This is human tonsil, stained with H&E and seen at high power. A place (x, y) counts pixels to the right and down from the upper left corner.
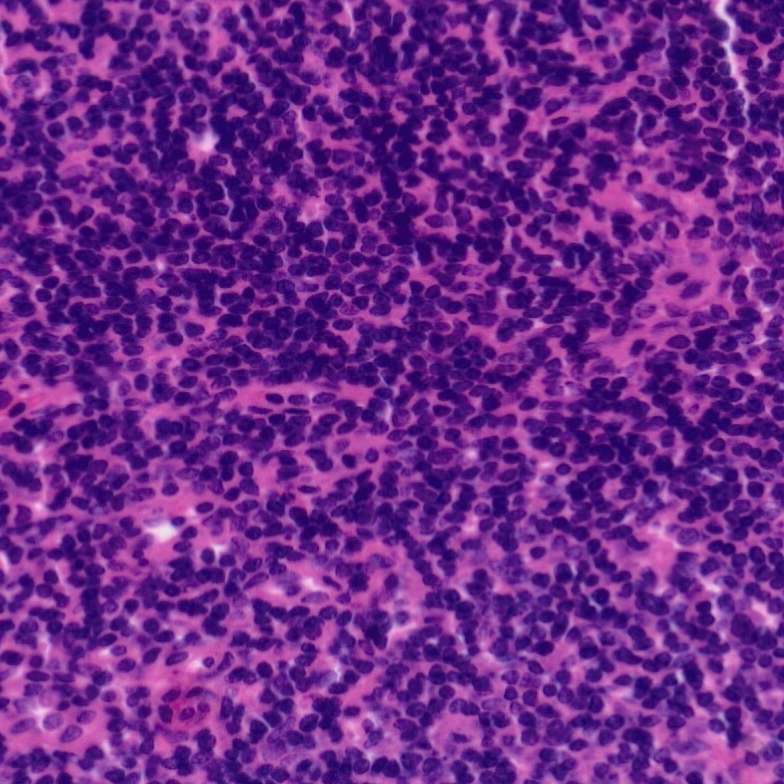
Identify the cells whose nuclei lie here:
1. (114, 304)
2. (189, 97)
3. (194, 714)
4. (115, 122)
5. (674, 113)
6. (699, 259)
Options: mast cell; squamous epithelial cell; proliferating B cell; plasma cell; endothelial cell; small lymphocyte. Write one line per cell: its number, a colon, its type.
1: small lymphocyte
2: small lymphocyte
3: endothelial cell
4: small lymphocyte
5: small lymphocyte
6: endothelial cell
